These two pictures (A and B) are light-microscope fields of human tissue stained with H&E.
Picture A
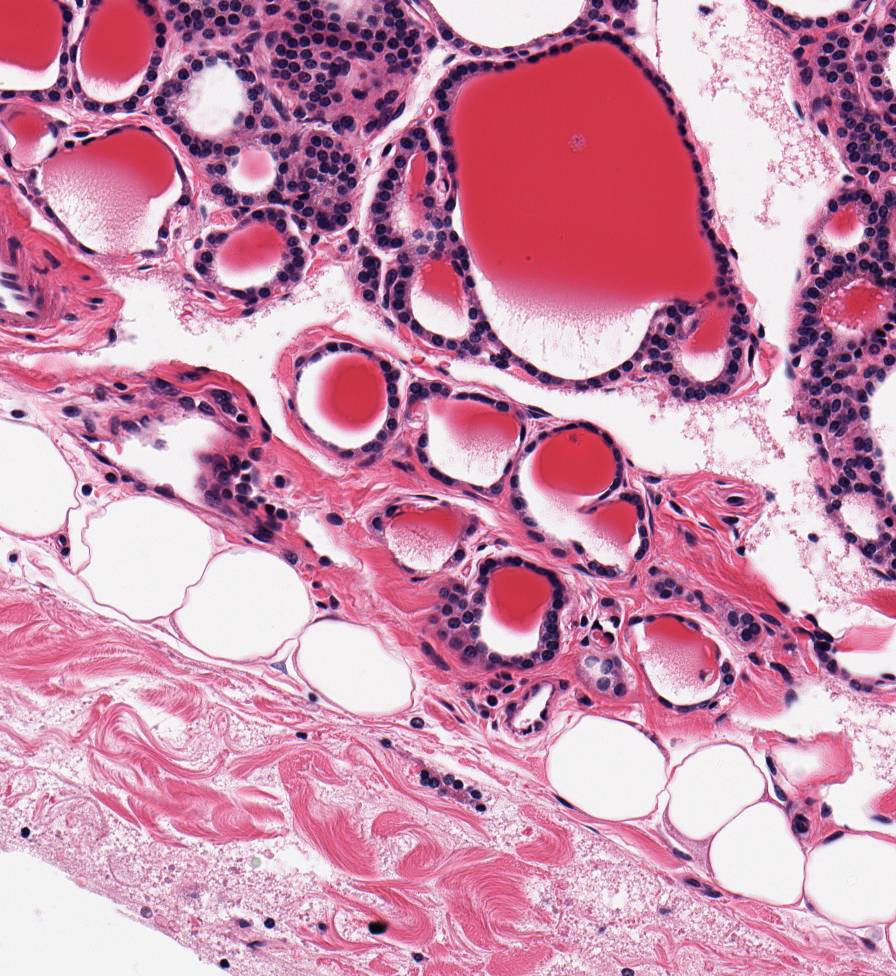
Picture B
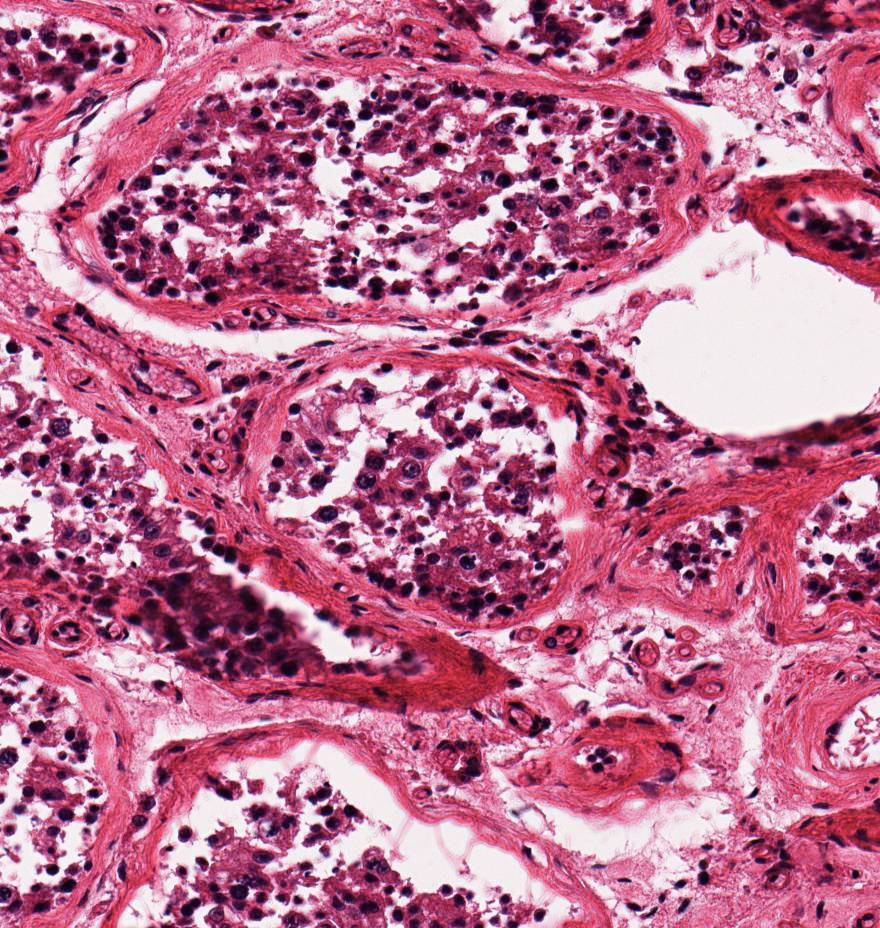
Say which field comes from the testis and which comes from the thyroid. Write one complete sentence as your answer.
Picture A comes from the thyroid; picture B comes from the testis.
